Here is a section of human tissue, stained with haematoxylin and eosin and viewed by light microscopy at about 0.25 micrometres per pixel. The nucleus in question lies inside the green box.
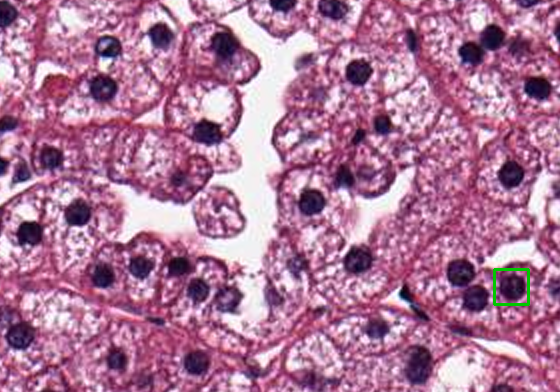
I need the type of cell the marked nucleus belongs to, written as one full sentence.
It is to an adrenal cortical cell that the marked nucleus belongs.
